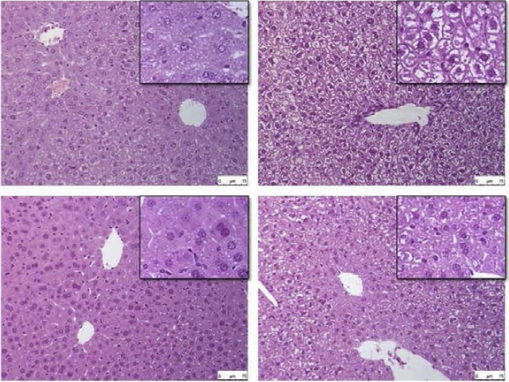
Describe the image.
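Four fields of liver parenchyma made of hepatocytes arranged in plates around thin-walled vessels with empty lumens. Hepatocytes are large and polygonal, with round, centrally placed nuclei and pink cytoplasm; some cells carry two nuclei. In the left two fields the cytoplasm is evenly pink and the cells lie closely packed. In the right two fields, most clearly in the upper right inset, the hepatocytes look enlarged with pale, cleared, vacuolated cytoplasm and sharply outlined cell borders. The plates remain intact and the cell outlines are preserved.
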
